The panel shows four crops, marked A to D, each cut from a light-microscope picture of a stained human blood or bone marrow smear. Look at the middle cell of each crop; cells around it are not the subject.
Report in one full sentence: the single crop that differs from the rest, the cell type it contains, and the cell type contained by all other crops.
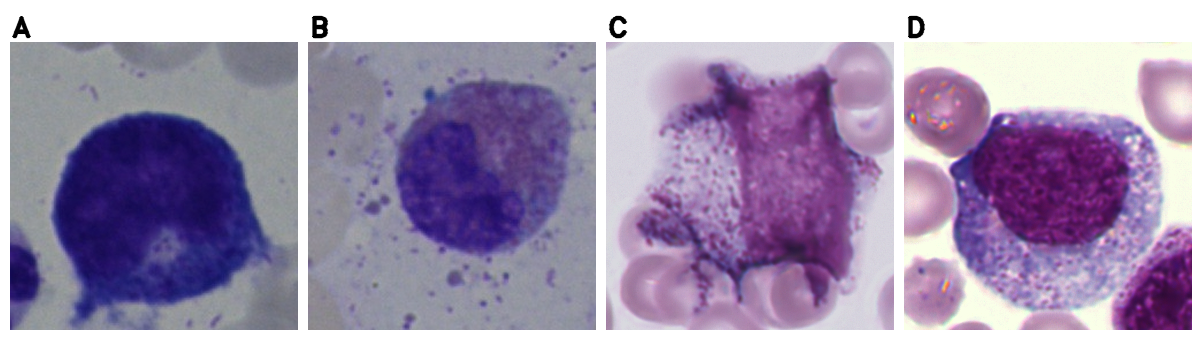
Apart from crop B, which shows an eosinophil, every crop shows promyelocytes.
